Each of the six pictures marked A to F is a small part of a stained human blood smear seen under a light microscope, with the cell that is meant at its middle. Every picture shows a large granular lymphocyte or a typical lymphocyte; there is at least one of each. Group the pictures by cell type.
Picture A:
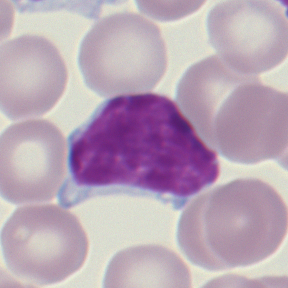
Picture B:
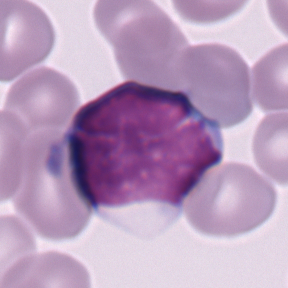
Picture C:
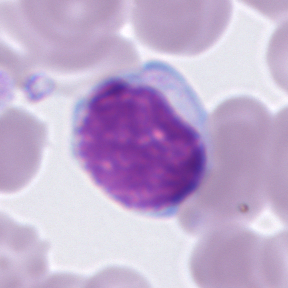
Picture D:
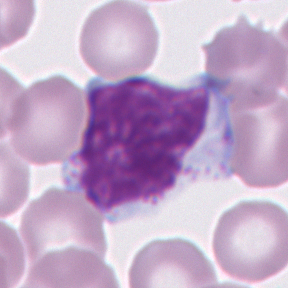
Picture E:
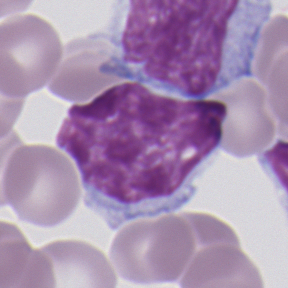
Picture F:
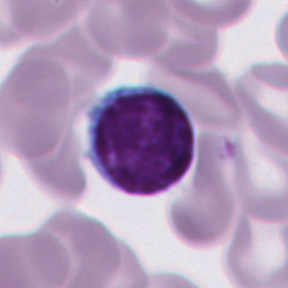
A: typical lymphocyte
B: large granular lymphocyte
C: large granular lymphocyte
D: large granular lymphocyte
E: typical lymphocyte
F: typical lymphocyte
